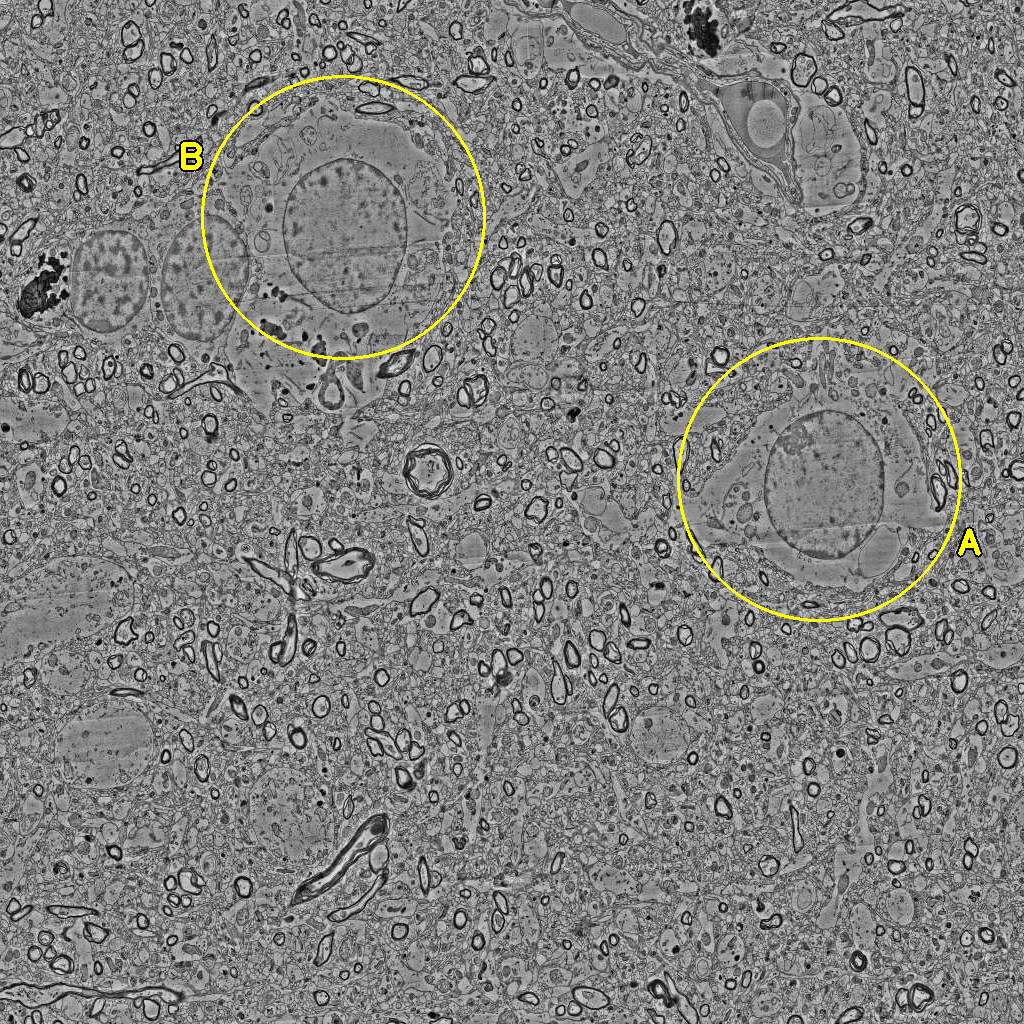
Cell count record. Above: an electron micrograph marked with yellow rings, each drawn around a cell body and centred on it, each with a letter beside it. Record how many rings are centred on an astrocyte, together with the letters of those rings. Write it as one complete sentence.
In the micrograph, two rings with the letters A and B are each centred on an astrocyte.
